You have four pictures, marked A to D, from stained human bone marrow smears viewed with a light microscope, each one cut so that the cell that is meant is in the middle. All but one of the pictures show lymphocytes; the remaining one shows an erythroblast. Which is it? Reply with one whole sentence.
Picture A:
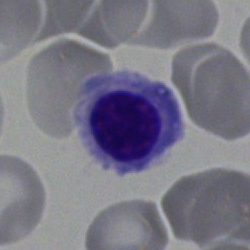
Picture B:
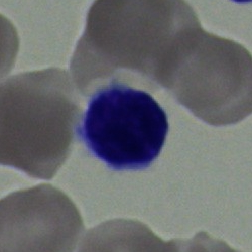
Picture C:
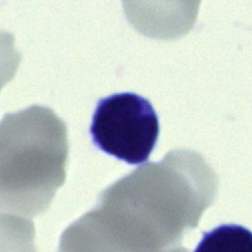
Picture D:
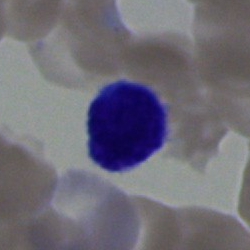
The picture with the erythroblast is A.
